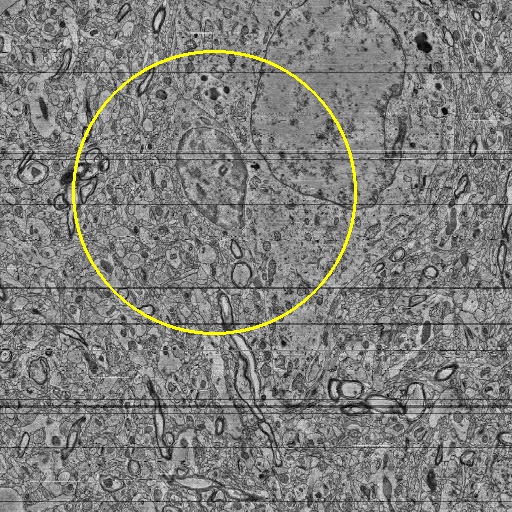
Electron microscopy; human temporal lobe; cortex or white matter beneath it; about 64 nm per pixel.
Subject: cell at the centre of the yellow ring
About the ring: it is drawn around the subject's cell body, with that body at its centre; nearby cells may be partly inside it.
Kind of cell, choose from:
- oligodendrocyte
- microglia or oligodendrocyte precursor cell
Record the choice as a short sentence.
The subject cell is an oligodendrocyte.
